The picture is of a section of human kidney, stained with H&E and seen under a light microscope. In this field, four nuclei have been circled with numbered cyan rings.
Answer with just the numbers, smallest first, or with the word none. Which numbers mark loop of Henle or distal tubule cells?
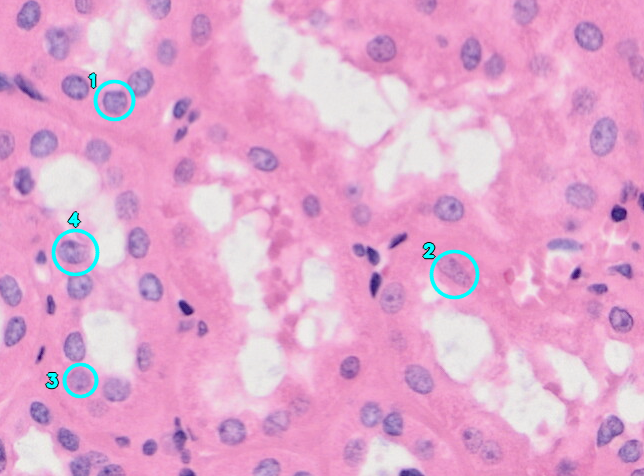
1, 3, 4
